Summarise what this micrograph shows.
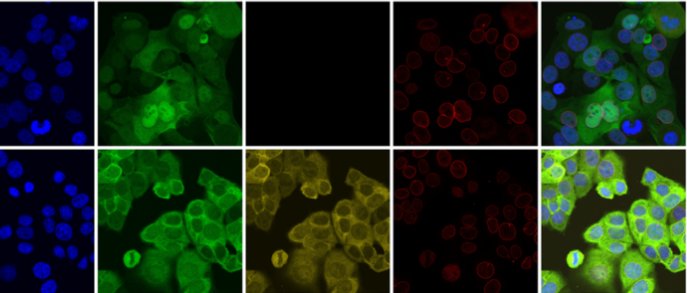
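In the upper row green fills both nuclei and cell bodies of many cells and no yellow is present. In the lower row green and yellow fill the cell bodies around darker nuclei, outlining polygonal cells that abut one another. A few small bright condensed nuclei lie among the cells.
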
